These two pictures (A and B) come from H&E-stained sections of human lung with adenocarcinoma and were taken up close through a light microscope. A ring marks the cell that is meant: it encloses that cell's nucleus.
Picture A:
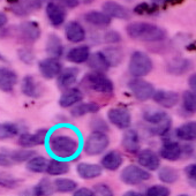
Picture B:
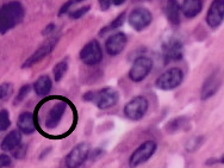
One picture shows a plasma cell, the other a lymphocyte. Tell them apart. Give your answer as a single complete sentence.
In picture A the cell is a lymphocyte; in picture B, a plasma cell.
